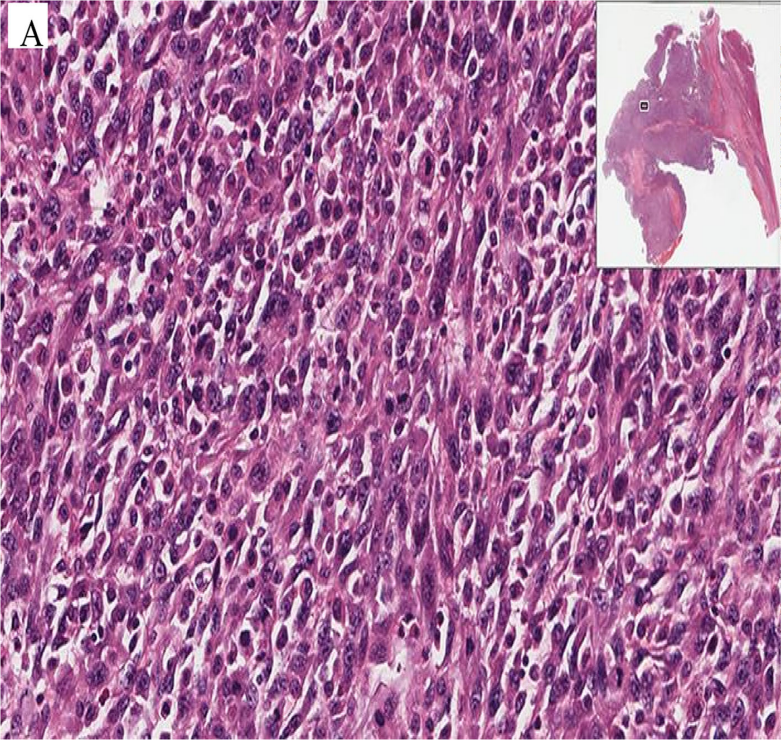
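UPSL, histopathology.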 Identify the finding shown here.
Spindle and epithelioid cell morphology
